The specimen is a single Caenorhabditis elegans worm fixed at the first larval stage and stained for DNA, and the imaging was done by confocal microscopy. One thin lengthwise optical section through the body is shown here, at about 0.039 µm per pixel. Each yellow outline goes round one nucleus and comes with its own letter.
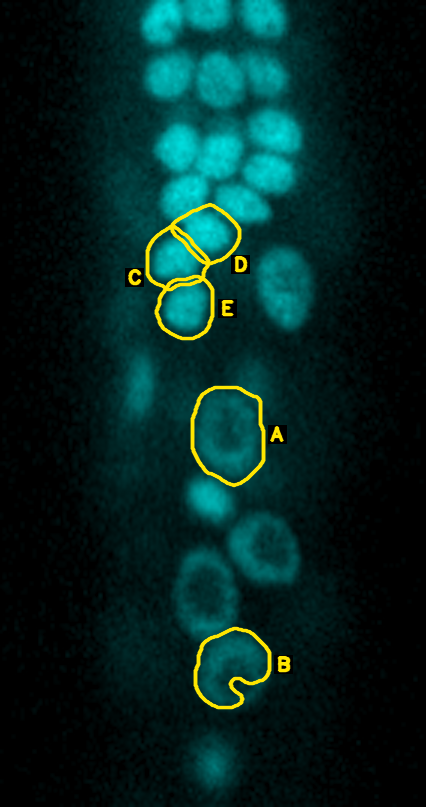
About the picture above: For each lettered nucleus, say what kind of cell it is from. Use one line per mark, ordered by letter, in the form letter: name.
A: seam cell
B: hypodermal cell (hyp)
C: neuron
D: neuron
E: neuron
